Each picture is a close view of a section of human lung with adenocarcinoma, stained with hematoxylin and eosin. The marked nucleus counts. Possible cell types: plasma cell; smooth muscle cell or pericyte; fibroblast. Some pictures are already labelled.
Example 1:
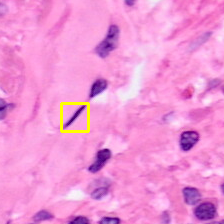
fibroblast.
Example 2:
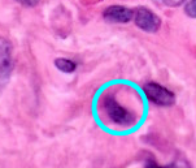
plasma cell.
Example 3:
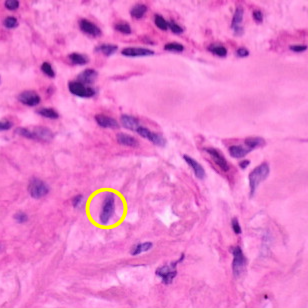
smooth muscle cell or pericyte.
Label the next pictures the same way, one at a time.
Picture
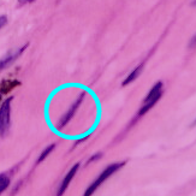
fibroblast.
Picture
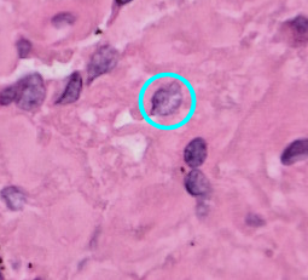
fibroblast.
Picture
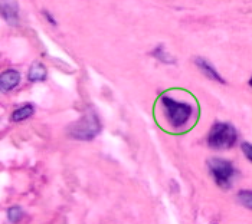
plasma cell.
